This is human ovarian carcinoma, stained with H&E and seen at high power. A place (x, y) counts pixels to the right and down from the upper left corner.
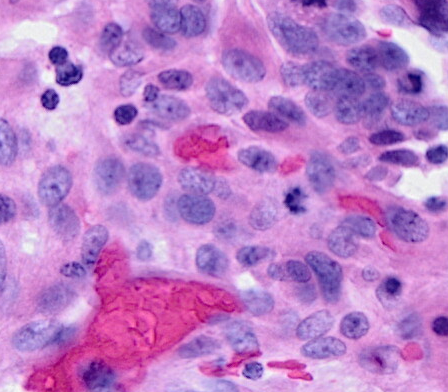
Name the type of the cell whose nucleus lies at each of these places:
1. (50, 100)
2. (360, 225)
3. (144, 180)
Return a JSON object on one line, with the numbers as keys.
{"1": "lymphocyte", "2": "endothelial cell", "3": "carcinoma cell"}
